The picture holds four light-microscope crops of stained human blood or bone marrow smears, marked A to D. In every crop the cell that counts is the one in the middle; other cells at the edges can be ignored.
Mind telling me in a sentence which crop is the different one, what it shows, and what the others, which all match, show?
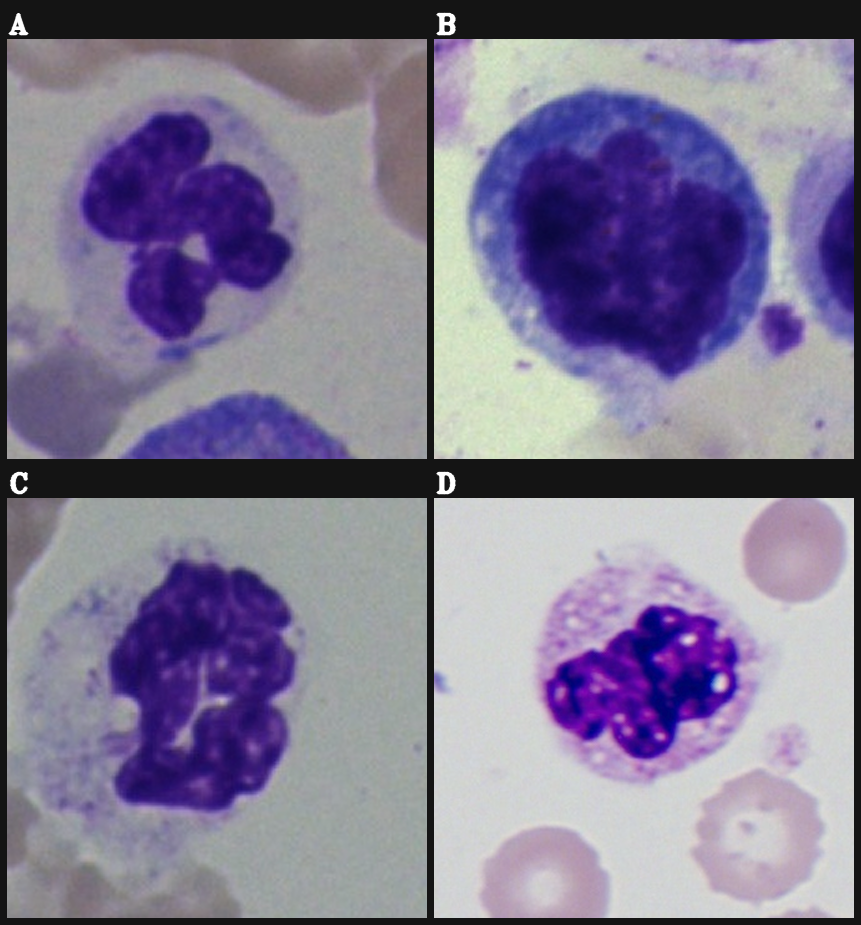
Apart from crop B, which shows a monocyte, every crop shows segmented neutrophils.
